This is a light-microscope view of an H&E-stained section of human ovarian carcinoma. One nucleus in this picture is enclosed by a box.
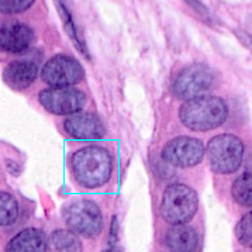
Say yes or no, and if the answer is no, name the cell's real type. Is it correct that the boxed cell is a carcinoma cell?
Yes.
